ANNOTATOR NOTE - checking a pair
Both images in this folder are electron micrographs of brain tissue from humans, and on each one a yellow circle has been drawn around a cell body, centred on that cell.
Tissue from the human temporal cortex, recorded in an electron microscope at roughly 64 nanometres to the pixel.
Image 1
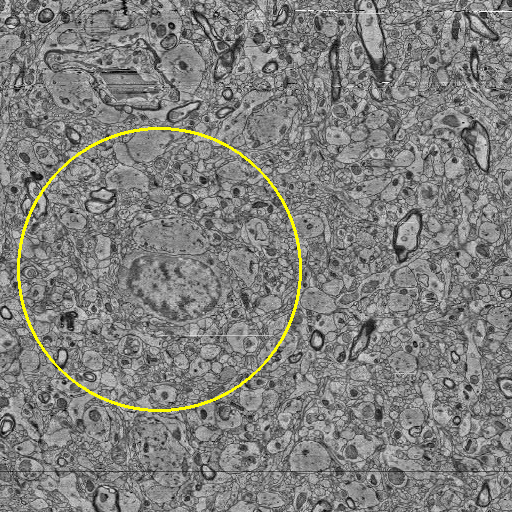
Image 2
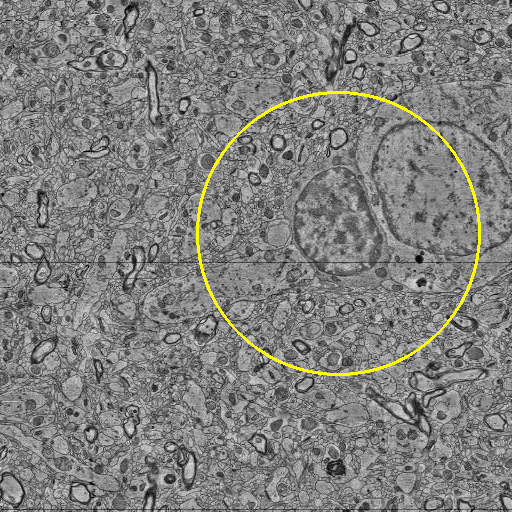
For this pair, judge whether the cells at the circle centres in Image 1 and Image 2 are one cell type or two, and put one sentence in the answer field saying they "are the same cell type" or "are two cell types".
For this pair, the cells at the circle centres in Images 1 and 2 are the same cell type.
